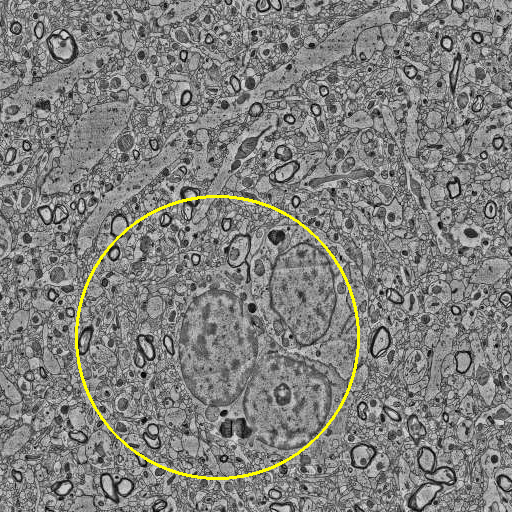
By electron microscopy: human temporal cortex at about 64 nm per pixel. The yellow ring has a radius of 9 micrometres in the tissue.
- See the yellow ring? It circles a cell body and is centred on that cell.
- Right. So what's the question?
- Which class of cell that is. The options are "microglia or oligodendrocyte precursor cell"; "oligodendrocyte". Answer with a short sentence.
The centre of the ring holds an oligodendrocyte.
